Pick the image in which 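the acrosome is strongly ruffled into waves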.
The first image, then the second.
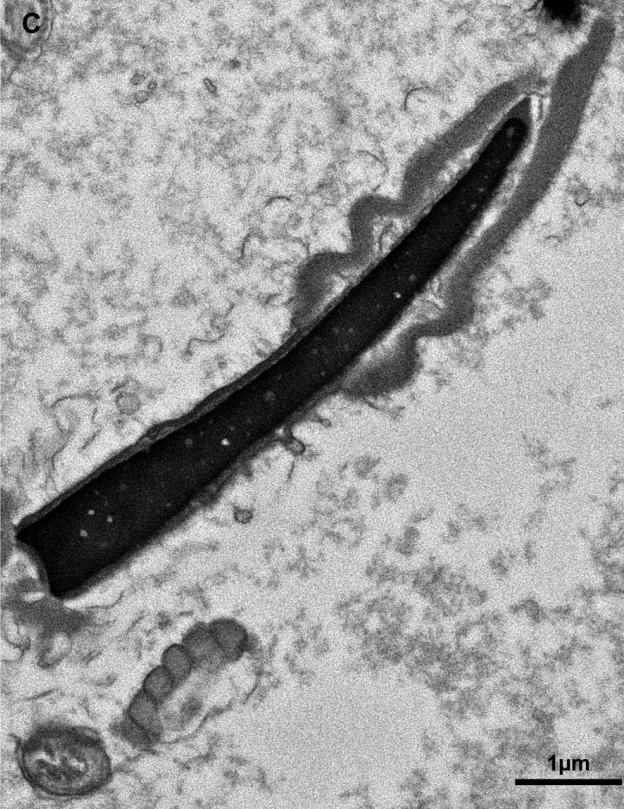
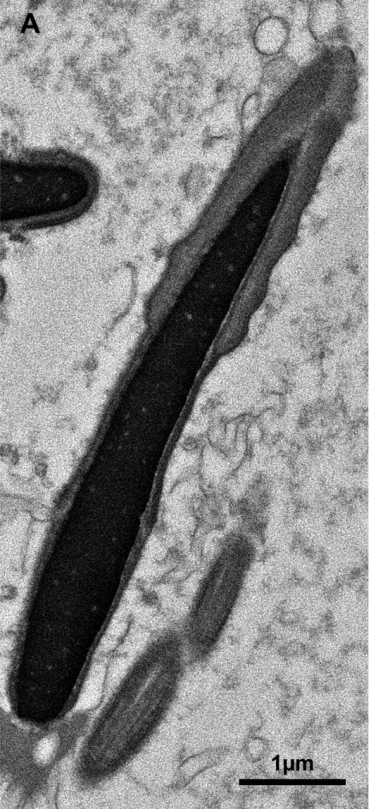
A: the first image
